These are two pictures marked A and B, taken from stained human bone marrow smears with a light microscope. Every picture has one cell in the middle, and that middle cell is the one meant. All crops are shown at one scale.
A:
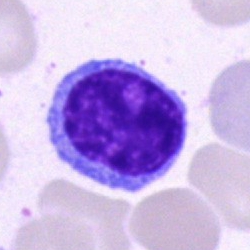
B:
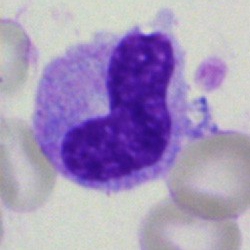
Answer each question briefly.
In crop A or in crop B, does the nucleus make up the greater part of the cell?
A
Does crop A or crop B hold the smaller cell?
A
